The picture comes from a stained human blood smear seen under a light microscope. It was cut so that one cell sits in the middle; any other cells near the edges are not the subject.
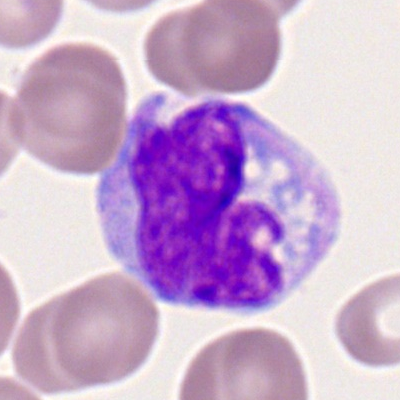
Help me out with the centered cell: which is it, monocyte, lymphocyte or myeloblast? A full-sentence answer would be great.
The cell of interest, in the center, is a monocyte.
